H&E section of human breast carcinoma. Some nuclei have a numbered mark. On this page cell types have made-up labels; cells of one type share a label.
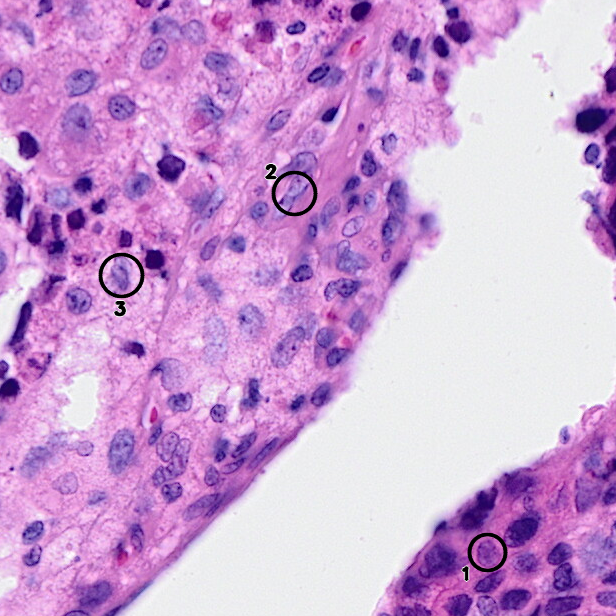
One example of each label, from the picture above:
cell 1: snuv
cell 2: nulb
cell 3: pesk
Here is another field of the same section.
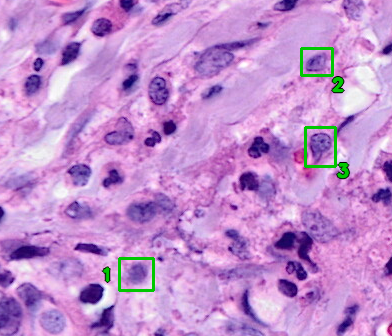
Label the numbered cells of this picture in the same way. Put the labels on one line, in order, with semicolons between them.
pesk; pesk; nulb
